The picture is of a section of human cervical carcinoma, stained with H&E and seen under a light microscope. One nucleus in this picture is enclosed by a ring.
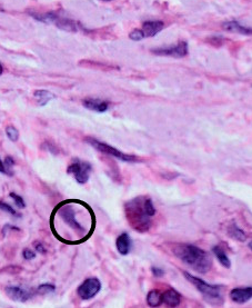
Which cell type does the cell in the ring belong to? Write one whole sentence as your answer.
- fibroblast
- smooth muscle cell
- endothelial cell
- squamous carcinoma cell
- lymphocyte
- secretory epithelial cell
With respect to cell type, the cell in the ring is a fibroblast.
